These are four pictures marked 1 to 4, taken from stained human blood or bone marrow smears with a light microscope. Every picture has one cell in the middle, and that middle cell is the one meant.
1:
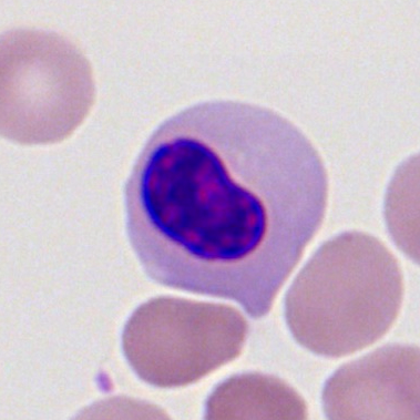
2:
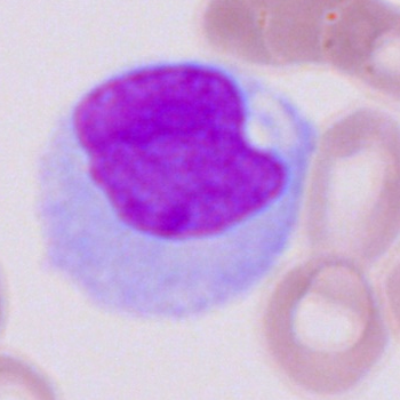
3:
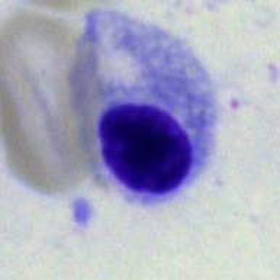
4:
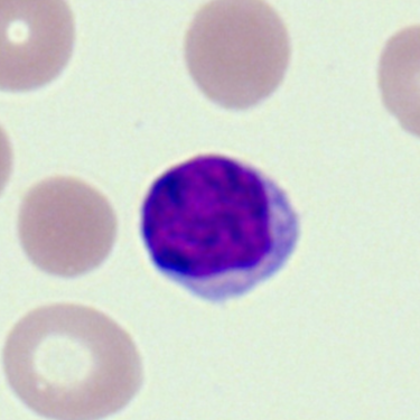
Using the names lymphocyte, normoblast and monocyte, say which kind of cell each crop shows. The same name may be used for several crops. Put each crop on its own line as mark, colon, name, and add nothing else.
1: normoblast
2: monocyte
3: normoblast
4: lymphocyte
